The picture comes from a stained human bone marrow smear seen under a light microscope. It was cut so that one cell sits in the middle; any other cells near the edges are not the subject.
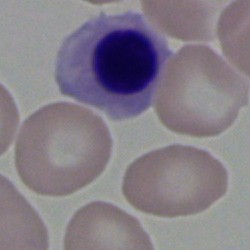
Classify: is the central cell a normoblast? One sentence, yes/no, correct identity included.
Yes, the cell positioned at the centre of the crop is a normoblast.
